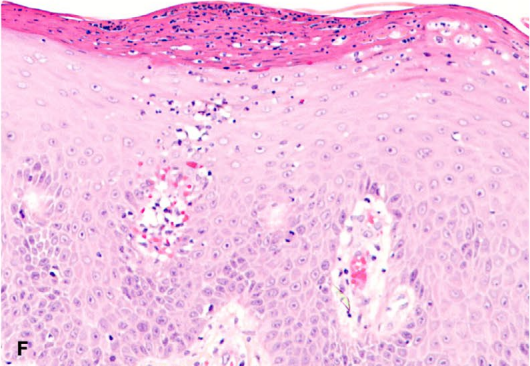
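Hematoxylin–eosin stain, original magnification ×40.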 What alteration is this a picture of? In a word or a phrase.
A: Subcorneal neutrophilic microabscesses.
